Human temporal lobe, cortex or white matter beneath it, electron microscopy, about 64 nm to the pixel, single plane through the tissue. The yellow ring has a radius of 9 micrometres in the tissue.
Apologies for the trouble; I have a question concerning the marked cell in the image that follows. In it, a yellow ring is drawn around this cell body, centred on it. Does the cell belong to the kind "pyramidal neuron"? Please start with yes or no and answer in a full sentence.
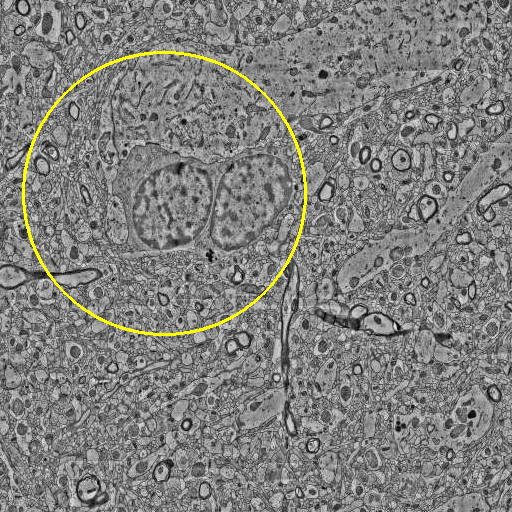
No, the ringed cell in the picture is of a different kind.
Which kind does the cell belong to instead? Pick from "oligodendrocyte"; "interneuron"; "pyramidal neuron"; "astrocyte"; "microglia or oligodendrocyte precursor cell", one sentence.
Sitting at the ring centre is an oligodendrocyte.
